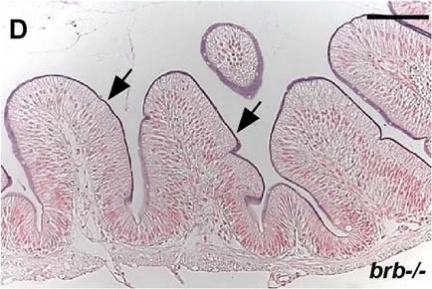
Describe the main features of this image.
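Broad folds of intestinal lining are made of densely packed tall columnar cells with elongated nuclei, more strongly pink toward their bases, and a crisp dark purple line marks their luminal surface. Pale round cells among the columnar cells are few and small.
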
